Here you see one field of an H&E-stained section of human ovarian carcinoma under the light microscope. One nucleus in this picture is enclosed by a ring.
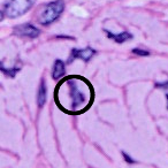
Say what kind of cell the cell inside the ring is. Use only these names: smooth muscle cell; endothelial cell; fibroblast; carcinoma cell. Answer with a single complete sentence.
The cell type of the cell inside the ring is that of a fibroblast.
